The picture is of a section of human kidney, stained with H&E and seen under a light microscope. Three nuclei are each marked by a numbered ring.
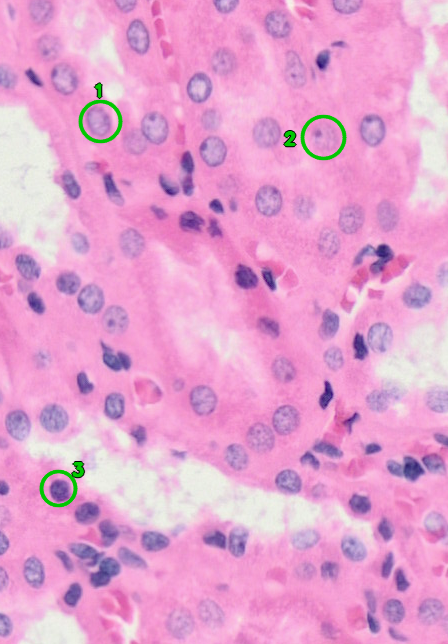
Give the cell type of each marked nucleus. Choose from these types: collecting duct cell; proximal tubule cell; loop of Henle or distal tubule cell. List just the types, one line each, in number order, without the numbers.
proximal tubule cell
proximal tubule cell
loop of Henle or distal tubule cell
